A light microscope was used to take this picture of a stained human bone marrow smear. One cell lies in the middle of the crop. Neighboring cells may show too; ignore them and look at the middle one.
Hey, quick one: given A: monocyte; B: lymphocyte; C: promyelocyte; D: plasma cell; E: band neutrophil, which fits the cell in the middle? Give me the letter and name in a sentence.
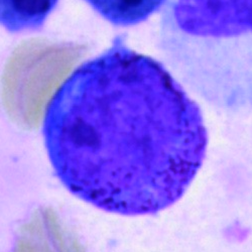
Option C is correct, and the cell in the centre is a promyelocyte.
